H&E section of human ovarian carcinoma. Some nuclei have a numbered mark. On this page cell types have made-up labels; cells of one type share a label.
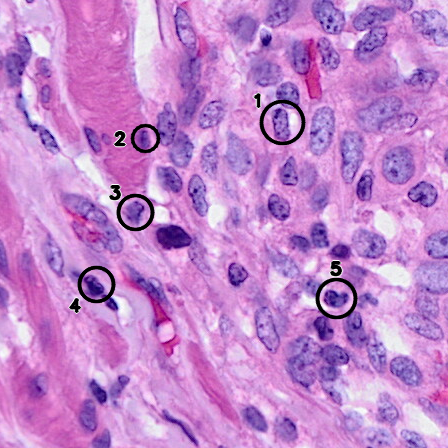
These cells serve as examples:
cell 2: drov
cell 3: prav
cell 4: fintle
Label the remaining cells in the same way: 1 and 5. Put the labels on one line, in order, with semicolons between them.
prav; fintle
